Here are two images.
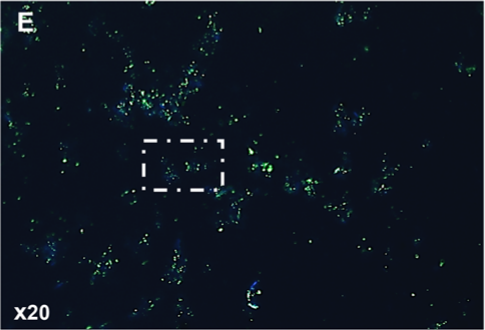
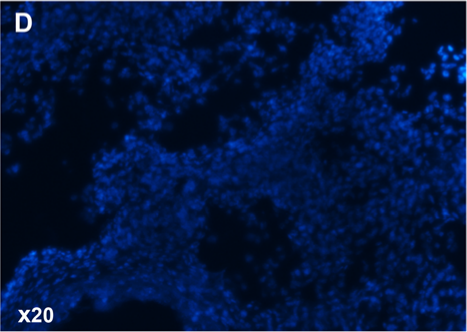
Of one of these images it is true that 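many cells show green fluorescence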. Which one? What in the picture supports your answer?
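First image: scattered green fluorescent spots and clusters throughout the field. Second image: densely packed blue nuclei with no green fluorescence. So: the first image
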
